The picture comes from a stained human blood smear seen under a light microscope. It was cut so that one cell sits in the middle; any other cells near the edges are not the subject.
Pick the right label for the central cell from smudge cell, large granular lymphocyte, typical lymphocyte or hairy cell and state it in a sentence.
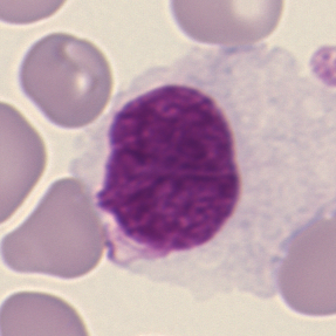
This crop has a hairy cell at its centre.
